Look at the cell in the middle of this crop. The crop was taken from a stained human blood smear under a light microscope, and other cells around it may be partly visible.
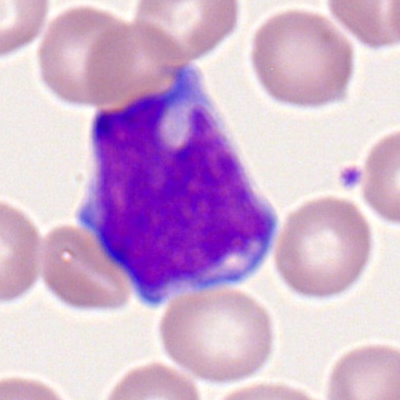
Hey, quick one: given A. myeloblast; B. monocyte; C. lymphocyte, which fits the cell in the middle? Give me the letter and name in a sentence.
The middle cell of the crop is a myeloblast; accordingly, option A is correct.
